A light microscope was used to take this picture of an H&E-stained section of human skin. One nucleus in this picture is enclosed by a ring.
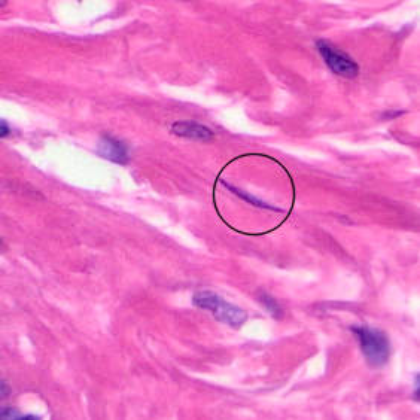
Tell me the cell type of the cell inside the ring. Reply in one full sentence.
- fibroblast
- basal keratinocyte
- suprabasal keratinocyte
In terms of identity, the cell inside the ring is a fibroblast.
